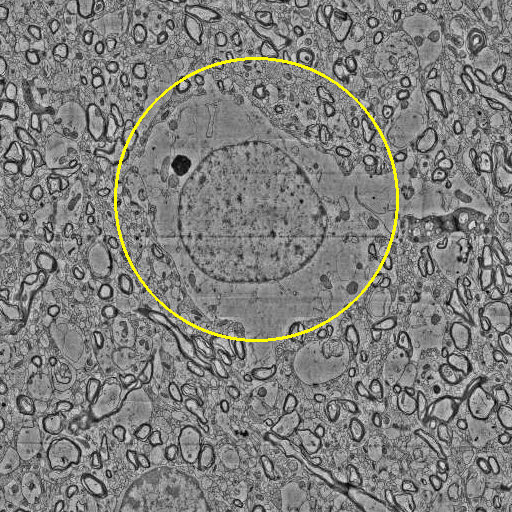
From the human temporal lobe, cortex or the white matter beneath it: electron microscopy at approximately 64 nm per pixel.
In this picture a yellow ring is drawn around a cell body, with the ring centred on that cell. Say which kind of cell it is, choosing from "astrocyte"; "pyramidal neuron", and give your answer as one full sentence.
Here it is an astrocyte that sits at the centre of the drawn yellow ring.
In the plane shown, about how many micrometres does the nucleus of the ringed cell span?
The nucleus appears about 9 micrometres across in this plane.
